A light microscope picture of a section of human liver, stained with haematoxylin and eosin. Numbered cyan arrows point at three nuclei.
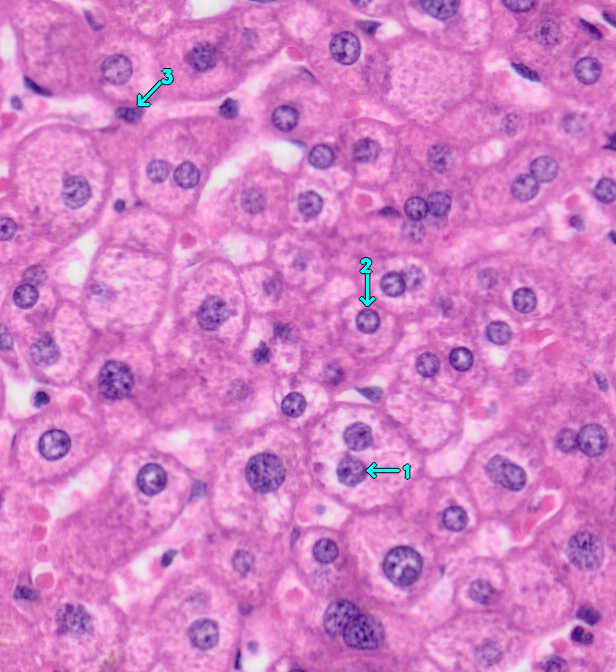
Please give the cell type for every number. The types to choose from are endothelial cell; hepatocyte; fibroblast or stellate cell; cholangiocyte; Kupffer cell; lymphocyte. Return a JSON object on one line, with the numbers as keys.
{"1": "hepatocyte", "2": "hepatocyte", "3": "fibroblast or stellate cell"}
